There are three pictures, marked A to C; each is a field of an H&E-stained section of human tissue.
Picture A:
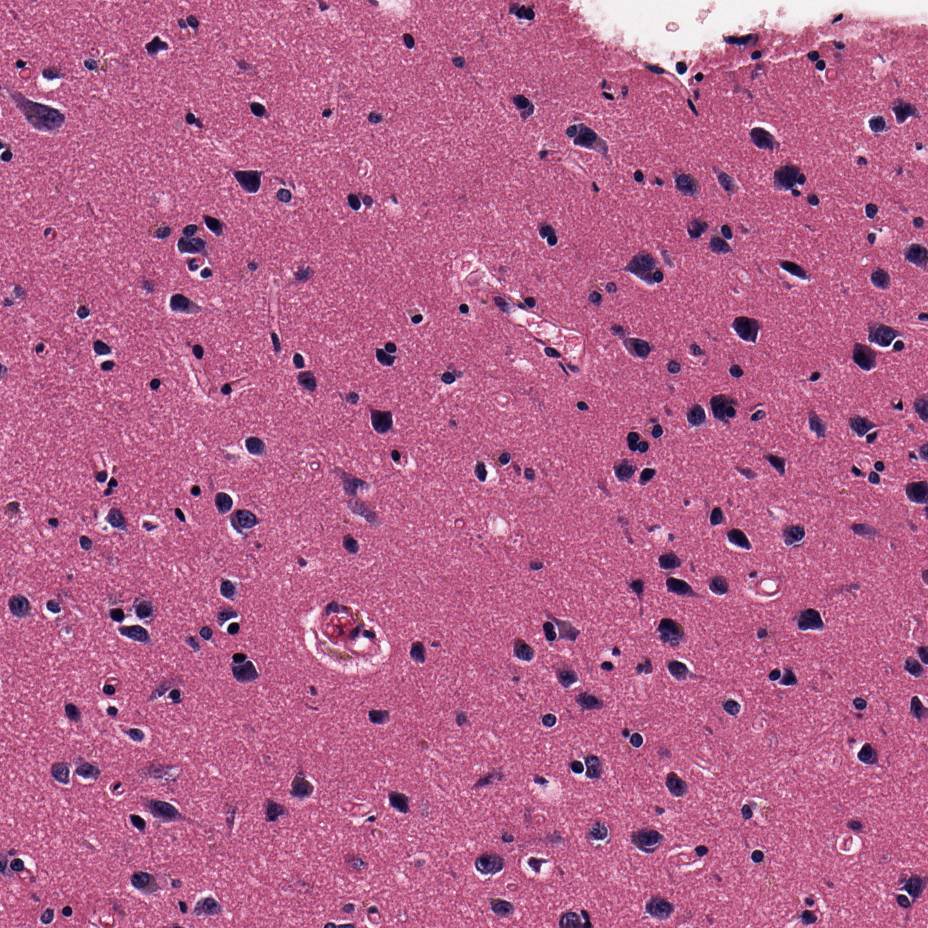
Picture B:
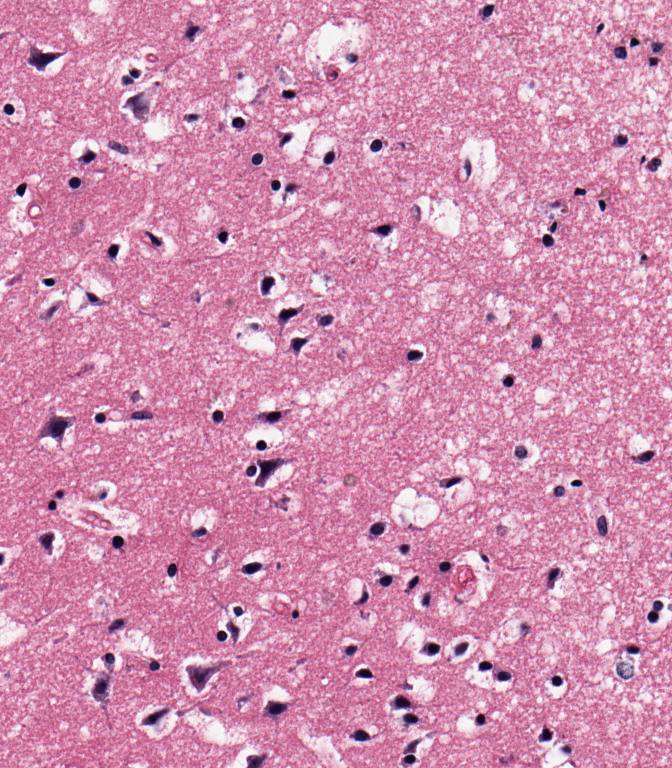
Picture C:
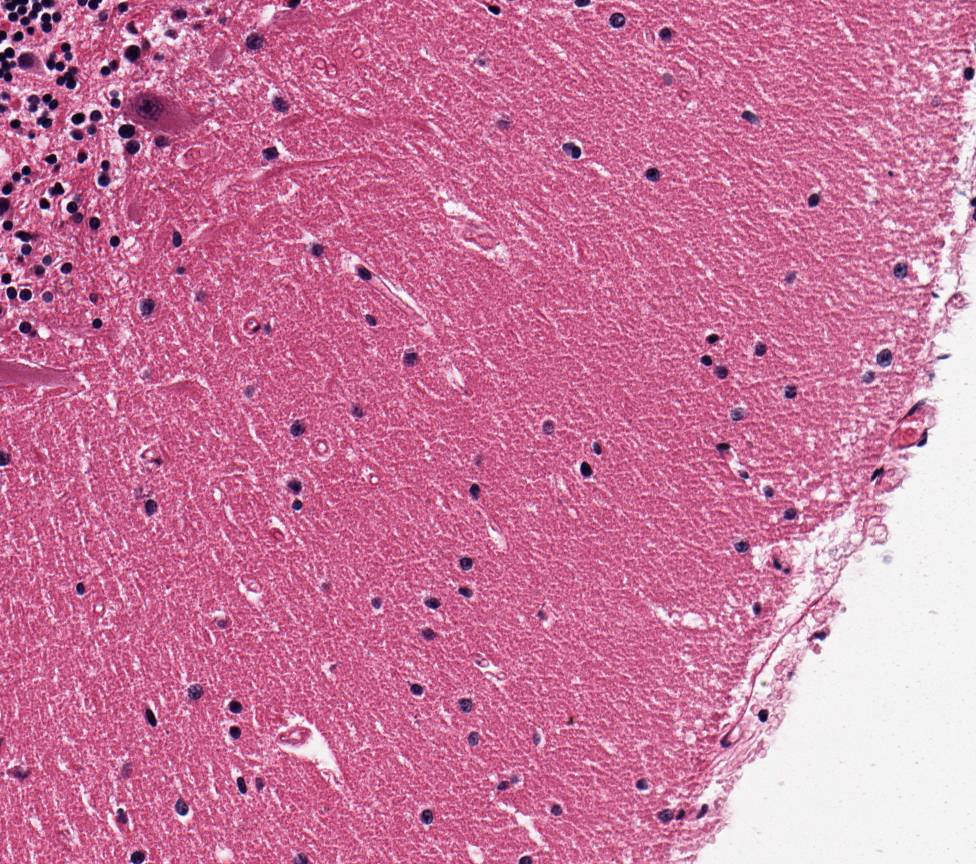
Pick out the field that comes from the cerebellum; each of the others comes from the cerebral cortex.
C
